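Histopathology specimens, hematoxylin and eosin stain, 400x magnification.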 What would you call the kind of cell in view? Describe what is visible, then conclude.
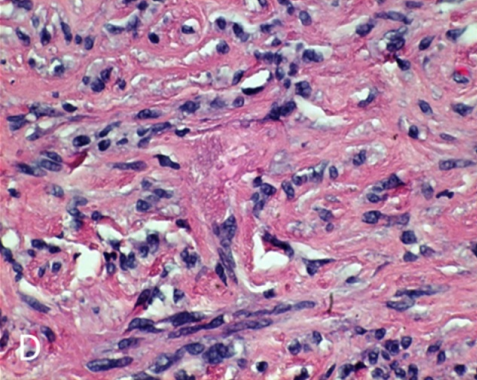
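Spindle cells. Elongated nuclei with tapered ends. Cells with pink fibrillar cytoplasm lie in interlacing bundles.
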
